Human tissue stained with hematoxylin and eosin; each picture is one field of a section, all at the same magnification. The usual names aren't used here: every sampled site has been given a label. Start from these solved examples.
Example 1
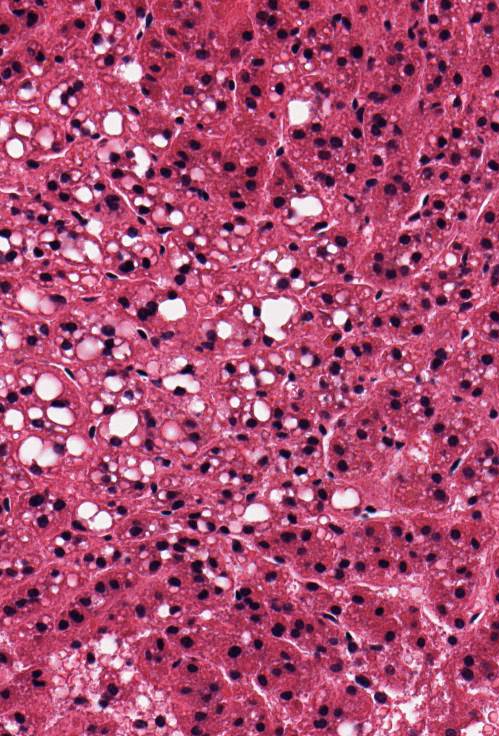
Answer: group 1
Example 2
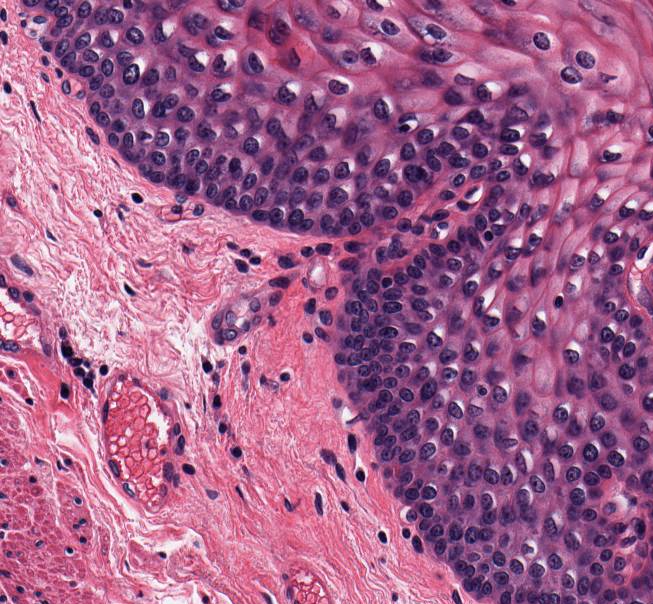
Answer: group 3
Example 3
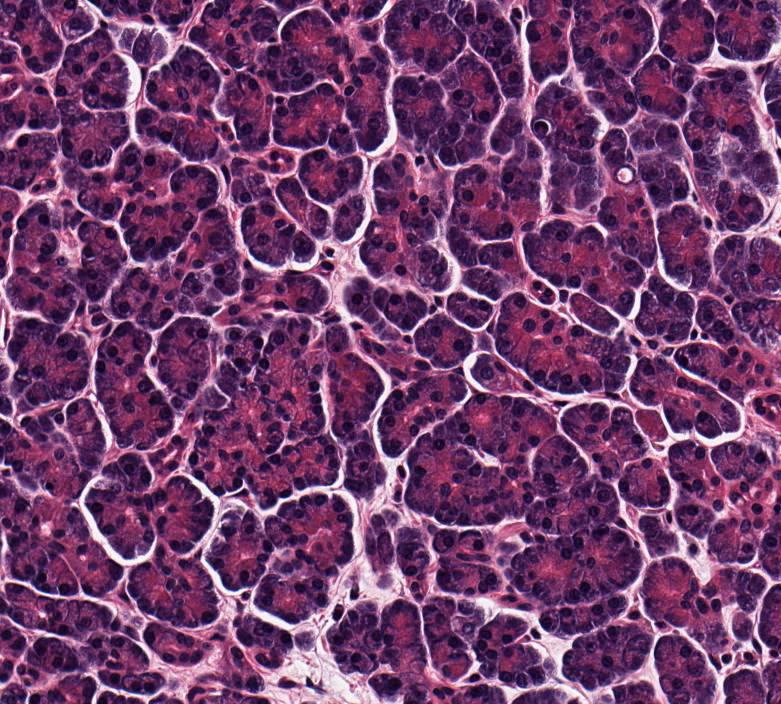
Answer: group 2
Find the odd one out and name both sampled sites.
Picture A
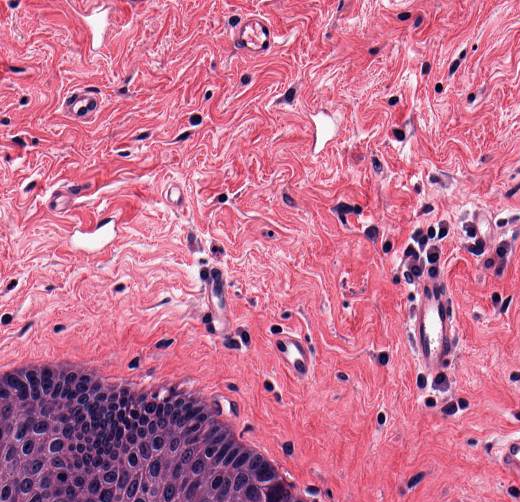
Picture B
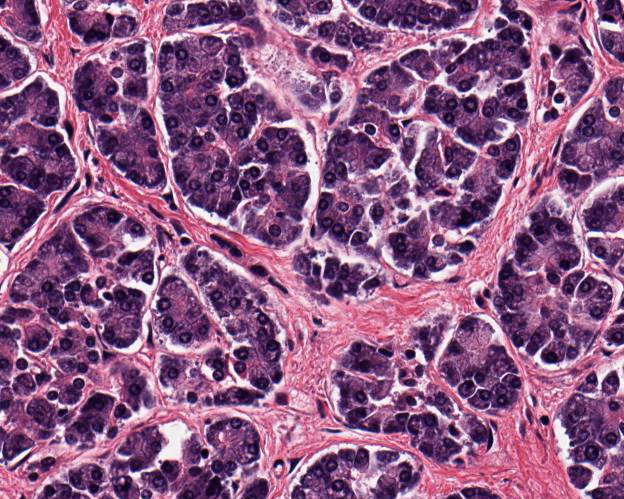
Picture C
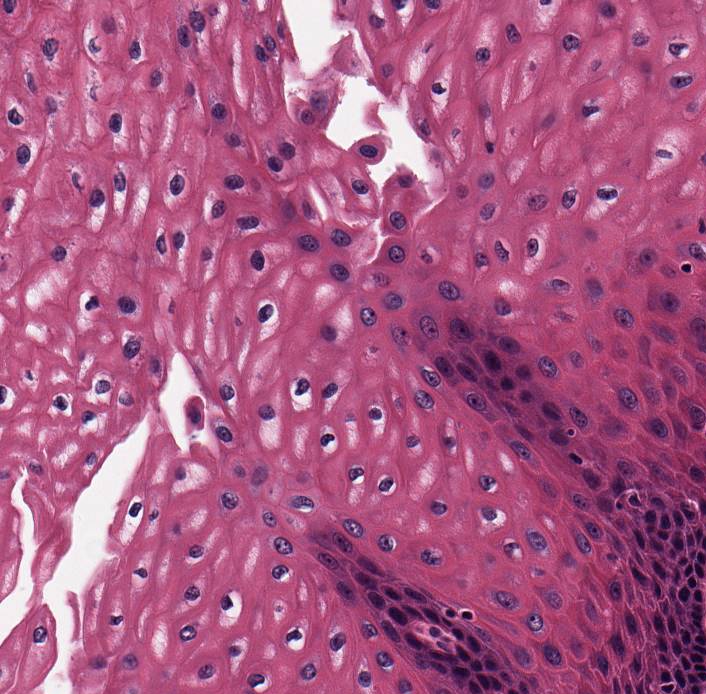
Odd one out: B (group 2). The rest: group 3.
